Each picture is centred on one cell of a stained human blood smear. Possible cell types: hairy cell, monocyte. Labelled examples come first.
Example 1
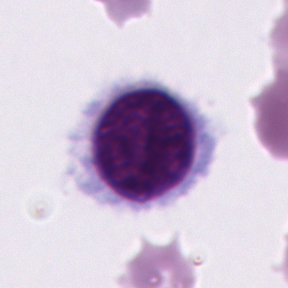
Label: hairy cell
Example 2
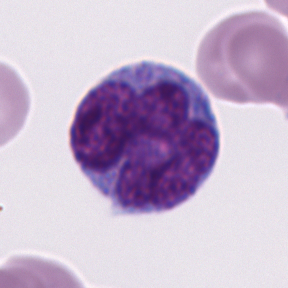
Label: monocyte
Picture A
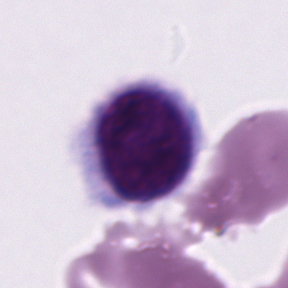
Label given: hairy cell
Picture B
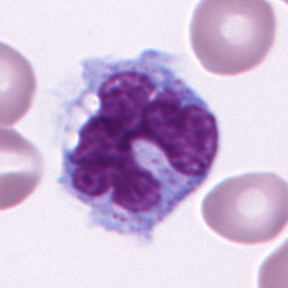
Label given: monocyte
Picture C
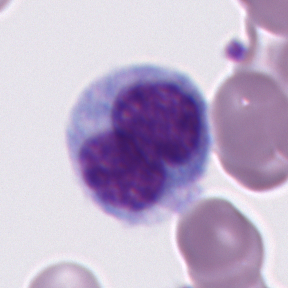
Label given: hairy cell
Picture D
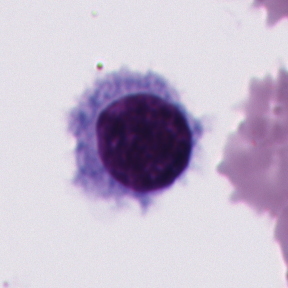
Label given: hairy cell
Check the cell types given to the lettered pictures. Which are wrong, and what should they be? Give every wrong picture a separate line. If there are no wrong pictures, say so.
C: monocyte, not hairy cell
